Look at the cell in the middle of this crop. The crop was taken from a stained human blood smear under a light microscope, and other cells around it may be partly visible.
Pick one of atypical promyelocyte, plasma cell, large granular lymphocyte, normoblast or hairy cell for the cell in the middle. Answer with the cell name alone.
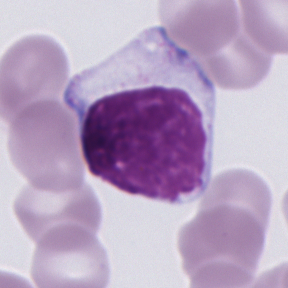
large granular lymphocyte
